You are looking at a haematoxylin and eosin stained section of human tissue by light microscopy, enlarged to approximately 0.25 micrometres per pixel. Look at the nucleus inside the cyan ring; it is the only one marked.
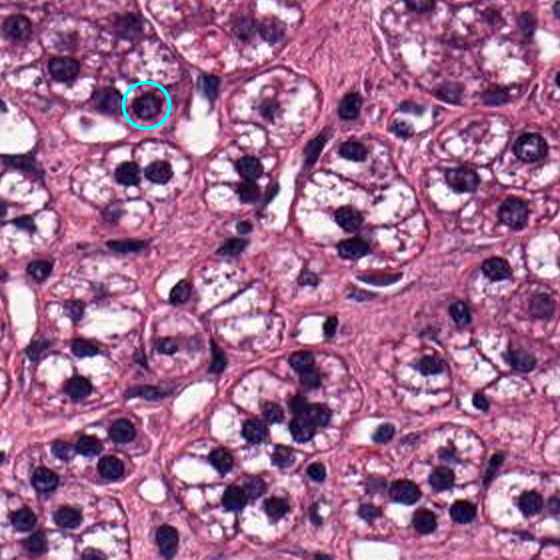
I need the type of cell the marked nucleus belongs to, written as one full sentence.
The marked nucleus, in this picture, belongs to an adrenal cortical cell.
